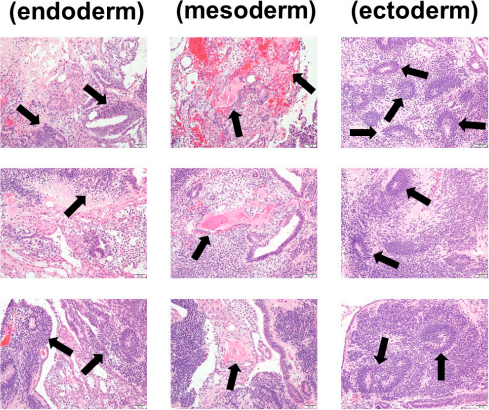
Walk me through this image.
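Teratoma sections stained with hematoxylin and eosin, a grid of fields with black arrows. Left fields: glandular and epithelial structures among loose stroma, arrows pointing to purple cell clusters and epithelium-lined spaces. Middle fields: pink eosinophilic, dense matrix areas and red blood-filled zones, arrows on the homogeneous pink deposits, beside glandular epithelium. Right fields: densely nucleated purple tissue with tubular, rosette-like structures of tall cells arranged radially around small lumens, arrows on these. Tissues of unlike kinds lie next to one another within the mass.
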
